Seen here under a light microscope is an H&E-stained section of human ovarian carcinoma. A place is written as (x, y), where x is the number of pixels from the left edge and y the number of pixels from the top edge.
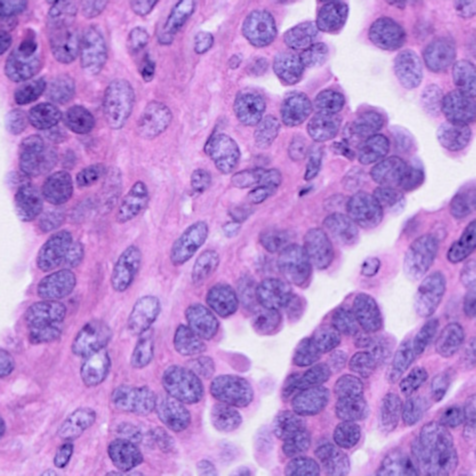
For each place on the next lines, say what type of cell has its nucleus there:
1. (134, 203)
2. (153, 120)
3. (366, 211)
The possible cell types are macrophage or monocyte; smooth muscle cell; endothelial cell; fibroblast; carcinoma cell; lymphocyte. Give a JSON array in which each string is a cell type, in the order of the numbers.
["fibroblast", "fibroblast", "carcinoma cell"]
